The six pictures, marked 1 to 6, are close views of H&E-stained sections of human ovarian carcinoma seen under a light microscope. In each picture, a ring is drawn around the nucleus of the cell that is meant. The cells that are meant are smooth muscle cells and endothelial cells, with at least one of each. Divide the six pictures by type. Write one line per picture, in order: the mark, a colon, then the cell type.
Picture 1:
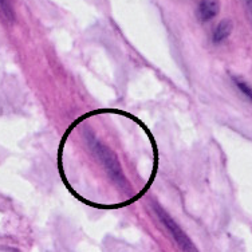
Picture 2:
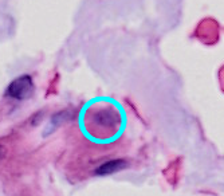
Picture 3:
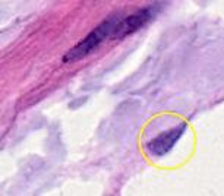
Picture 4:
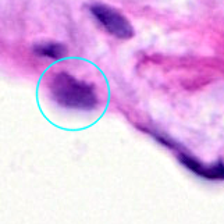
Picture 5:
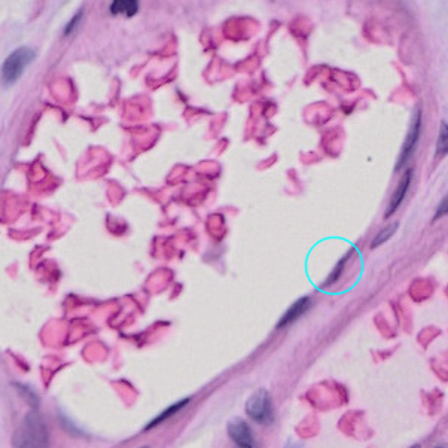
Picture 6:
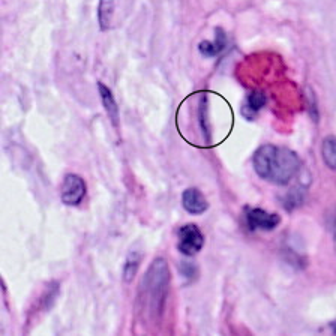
1: smooth muscle cell
2: smooth muscle cell
3: endothelial cell
4: endothelial cell
5: endothelial cell
6: endothelial cell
